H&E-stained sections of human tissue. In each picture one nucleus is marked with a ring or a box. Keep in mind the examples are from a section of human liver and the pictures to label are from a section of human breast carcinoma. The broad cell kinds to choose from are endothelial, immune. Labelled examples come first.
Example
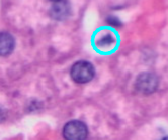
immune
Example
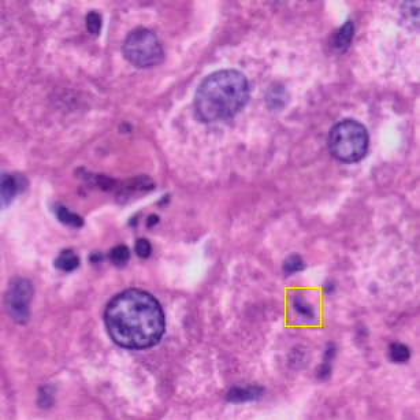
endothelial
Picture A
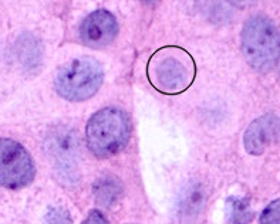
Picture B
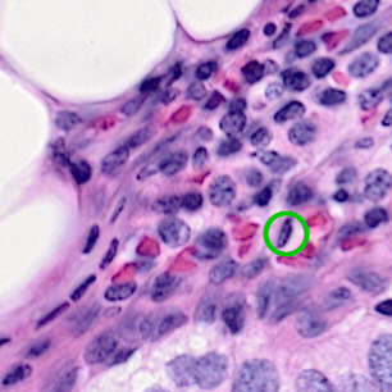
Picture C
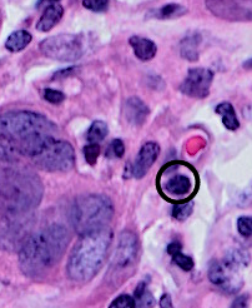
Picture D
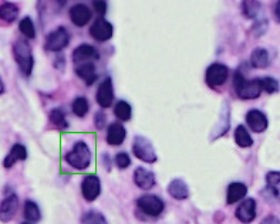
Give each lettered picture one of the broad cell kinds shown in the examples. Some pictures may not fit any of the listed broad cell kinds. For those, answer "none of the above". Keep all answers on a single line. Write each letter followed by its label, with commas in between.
A none of the above, B endothelial, C immune, D immune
